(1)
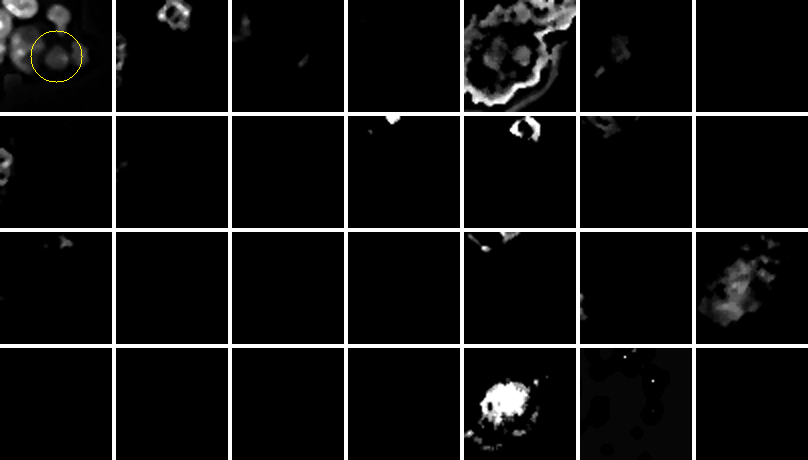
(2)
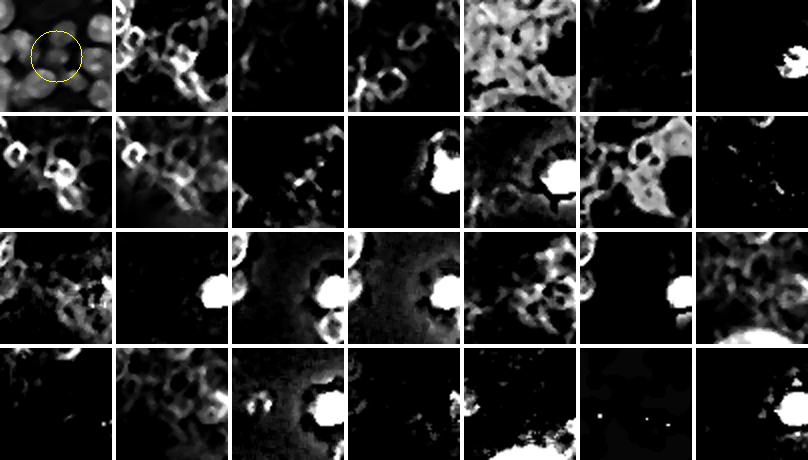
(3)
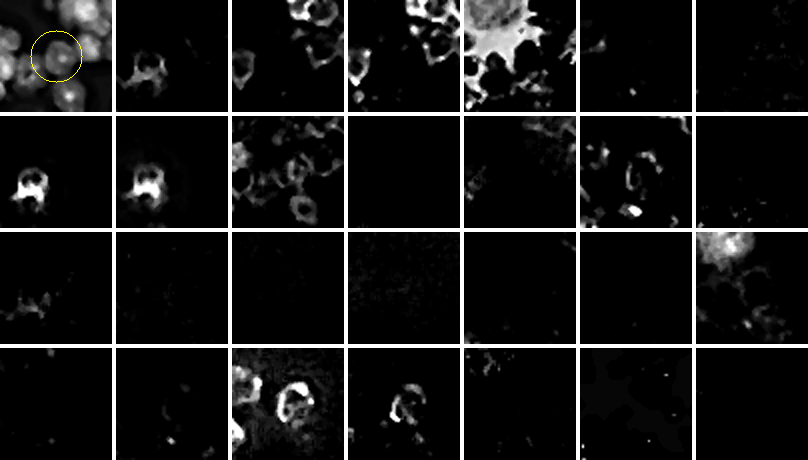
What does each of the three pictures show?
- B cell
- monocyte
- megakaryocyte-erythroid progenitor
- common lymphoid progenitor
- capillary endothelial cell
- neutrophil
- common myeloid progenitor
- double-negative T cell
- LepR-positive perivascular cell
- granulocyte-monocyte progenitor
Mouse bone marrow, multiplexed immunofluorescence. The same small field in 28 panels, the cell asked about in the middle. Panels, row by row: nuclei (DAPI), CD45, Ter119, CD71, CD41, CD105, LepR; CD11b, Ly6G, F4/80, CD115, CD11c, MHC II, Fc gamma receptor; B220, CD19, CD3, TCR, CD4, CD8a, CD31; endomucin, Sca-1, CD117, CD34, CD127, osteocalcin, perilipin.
1: common lymphoid progenitor
2: neutrophil
3: megakaryocyte-erythroid progenitor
